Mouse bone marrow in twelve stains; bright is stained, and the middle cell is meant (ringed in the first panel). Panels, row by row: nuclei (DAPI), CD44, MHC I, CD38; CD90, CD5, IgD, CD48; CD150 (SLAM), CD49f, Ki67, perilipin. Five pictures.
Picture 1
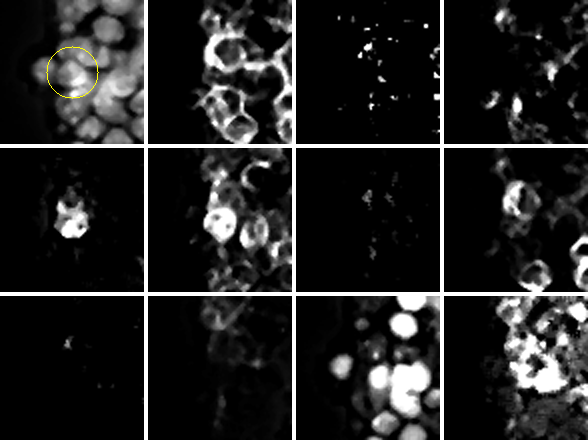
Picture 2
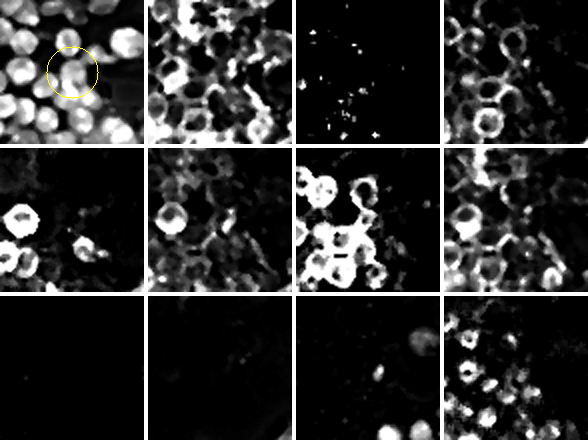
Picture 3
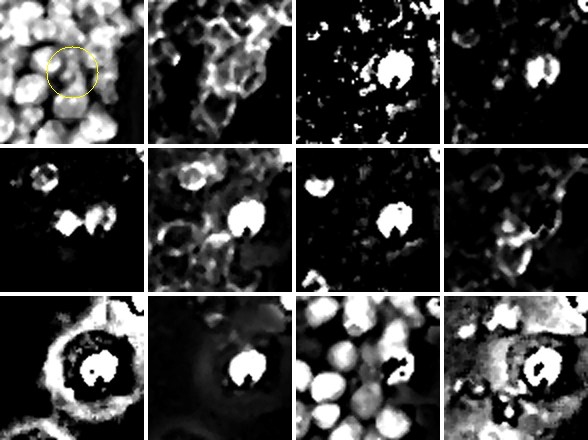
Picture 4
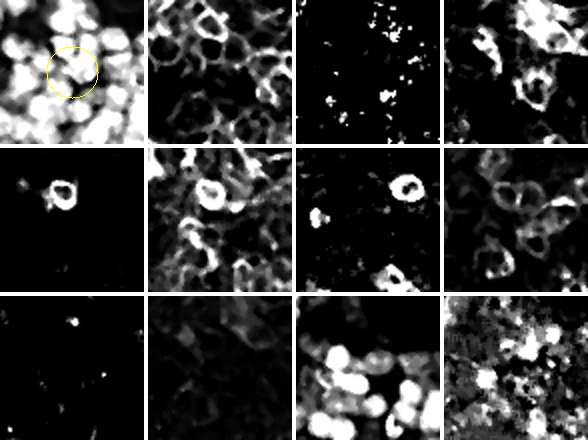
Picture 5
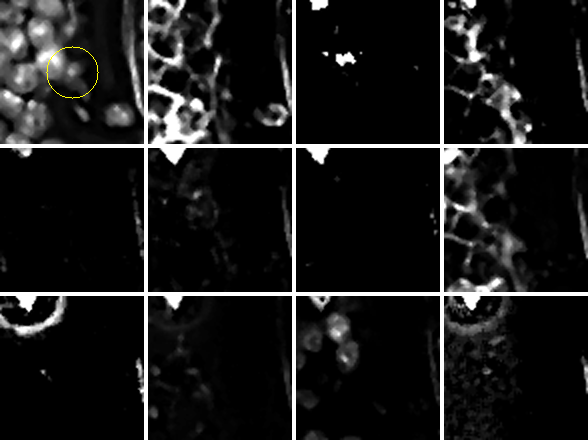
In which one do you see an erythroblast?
In picture 4.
